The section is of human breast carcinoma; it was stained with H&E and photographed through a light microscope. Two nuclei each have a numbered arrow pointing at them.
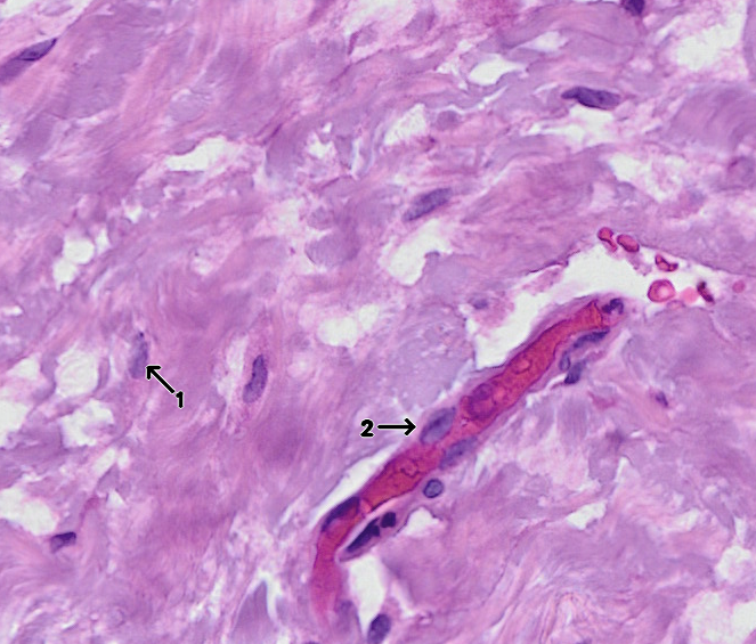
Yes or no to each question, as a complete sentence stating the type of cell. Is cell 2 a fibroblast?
No; cell 2 is an endothelial cell, not a fibroblast.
